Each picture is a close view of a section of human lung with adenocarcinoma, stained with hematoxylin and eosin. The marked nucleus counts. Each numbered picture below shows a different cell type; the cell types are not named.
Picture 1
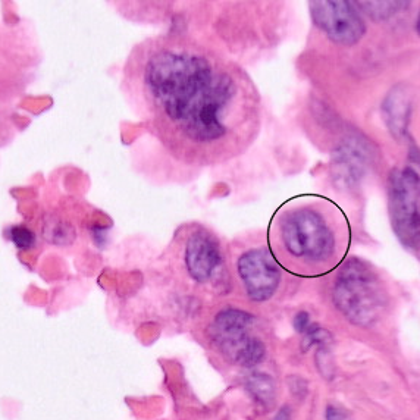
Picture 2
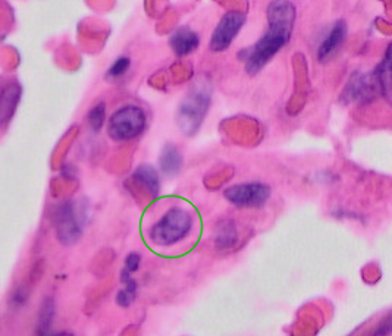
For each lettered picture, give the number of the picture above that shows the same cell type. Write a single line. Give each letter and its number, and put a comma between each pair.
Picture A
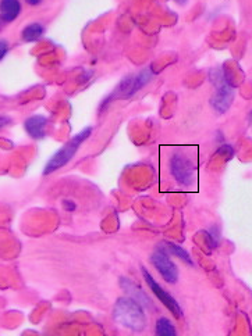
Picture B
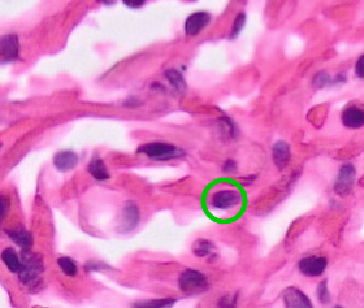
A 2, B 2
